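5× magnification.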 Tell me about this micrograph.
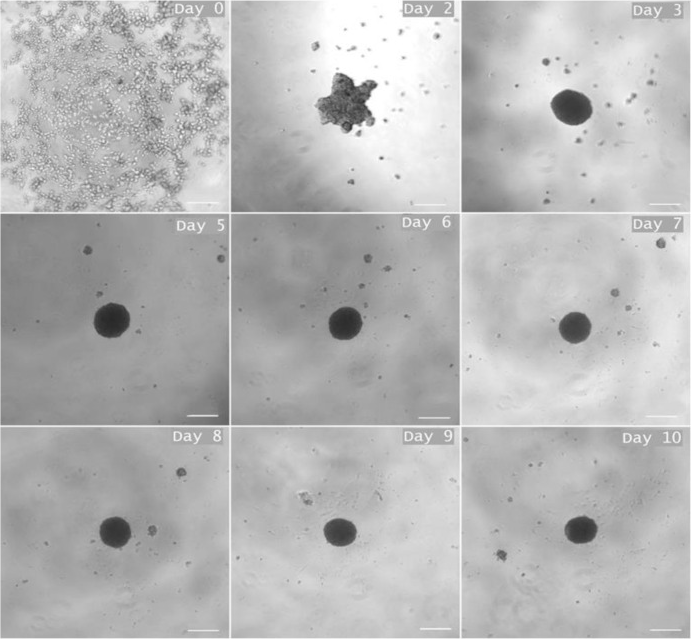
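In the first view, many small, rounded, separate cells lie scattered over the whole field, with loose clusters here and there. In the next view, the cells have come together into one dark, irregular aggregate with a ragged, lobed outline, and small fragments and single cells lie around it. In the later views, the aggregate has become a dense, dark, nearly circular body with a smooth edge, so no single cell can be made out within it. Through the remaining views, the spheroid stays round and compact at the centre of the field, while only a few small scattered particles and cell clumps remain in the pale background.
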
